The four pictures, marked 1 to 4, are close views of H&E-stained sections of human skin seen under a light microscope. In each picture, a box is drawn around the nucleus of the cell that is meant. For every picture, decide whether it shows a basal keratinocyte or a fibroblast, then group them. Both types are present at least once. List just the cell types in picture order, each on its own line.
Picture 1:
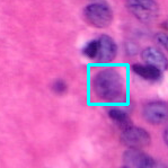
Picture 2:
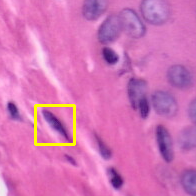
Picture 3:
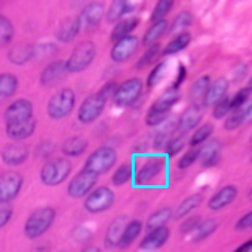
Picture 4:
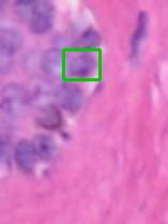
basal keratinocyte
fibroblast
basal keratinocyte
basal keratinocyte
